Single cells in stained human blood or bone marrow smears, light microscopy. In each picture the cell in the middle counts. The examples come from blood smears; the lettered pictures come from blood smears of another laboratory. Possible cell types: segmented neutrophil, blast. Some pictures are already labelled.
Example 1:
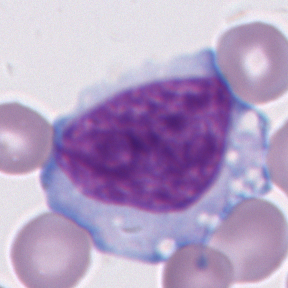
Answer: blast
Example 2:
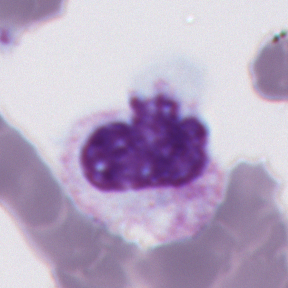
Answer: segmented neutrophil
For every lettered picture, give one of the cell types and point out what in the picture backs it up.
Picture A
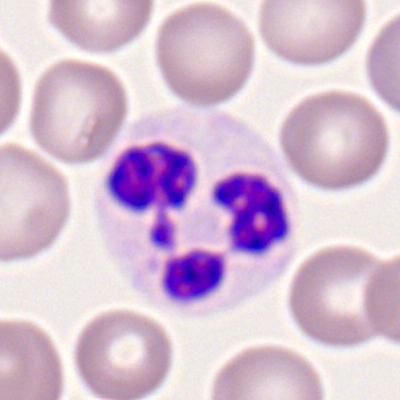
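segmented neutrophil. Evidence: The cytoplasm is abundant and pale pink-lilac.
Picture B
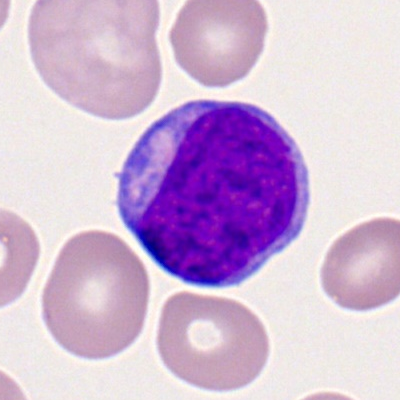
blast. Evidence: The nucleus occupies most of the cell.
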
